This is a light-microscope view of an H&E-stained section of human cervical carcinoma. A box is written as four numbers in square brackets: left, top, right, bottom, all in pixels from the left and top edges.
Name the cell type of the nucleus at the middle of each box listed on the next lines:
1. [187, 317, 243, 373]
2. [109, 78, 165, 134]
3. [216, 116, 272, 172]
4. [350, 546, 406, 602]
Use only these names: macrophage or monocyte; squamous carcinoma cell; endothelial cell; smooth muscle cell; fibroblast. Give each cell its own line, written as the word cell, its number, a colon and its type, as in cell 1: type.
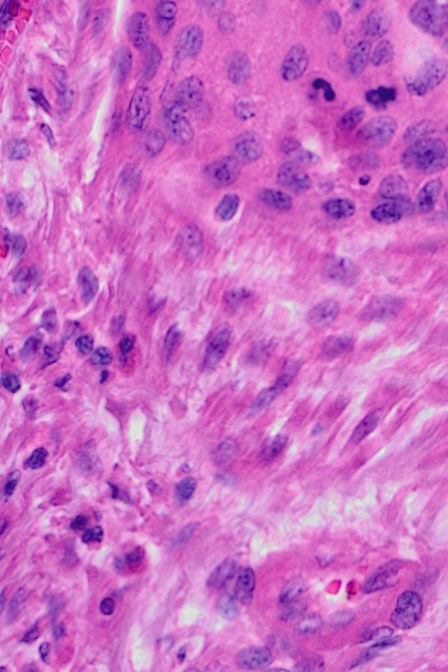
cell 1: fibroblast
cell 2: squamous carcinoma cell
cell 3: squamous carcinoma cell
cell 4: endothelial cell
